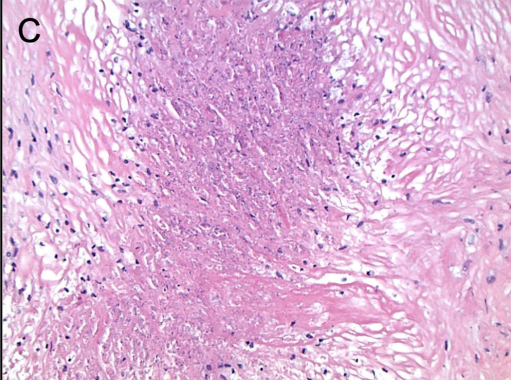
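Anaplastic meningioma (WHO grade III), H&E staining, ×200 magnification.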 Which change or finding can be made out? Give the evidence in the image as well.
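Necrosis. Broad pale pink areas with few or no nuclei. Scattered small dark nuclei float in the pale material.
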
